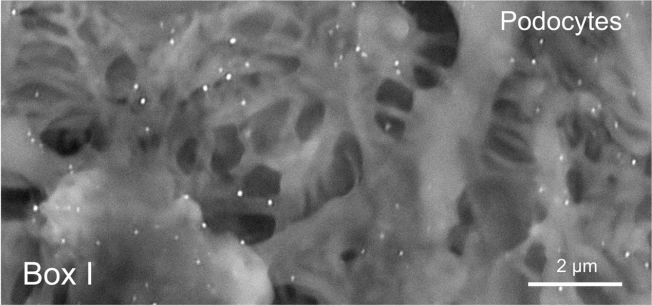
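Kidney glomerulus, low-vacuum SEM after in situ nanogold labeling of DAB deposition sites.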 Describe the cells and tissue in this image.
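Grey, irregular branching processes interlace with dark gaps between them, and many tiny bright white dots are scattered over their surfaces. The dots are of similar small size and lie on the processes rather than in the dark spaces.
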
